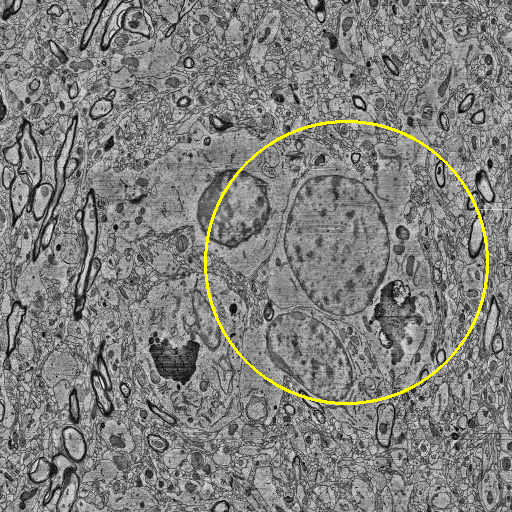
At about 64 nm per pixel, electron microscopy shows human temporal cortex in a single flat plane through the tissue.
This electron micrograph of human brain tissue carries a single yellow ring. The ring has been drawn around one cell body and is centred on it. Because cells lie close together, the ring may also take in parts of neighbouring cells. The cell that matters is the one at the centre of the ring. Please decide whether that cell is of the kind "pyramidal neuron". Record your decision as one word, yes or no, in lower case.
no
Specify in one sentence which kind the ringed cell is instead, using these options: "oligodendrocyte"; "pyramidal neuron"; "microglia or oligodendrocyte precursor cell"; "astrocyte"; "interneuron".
The ring's central cell is an astrocyte instead.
